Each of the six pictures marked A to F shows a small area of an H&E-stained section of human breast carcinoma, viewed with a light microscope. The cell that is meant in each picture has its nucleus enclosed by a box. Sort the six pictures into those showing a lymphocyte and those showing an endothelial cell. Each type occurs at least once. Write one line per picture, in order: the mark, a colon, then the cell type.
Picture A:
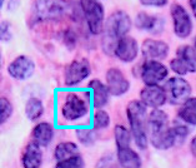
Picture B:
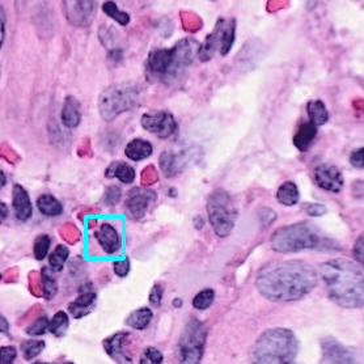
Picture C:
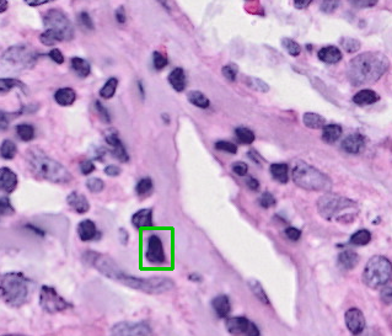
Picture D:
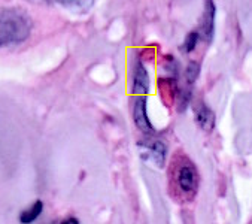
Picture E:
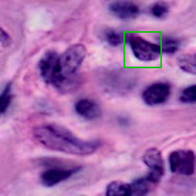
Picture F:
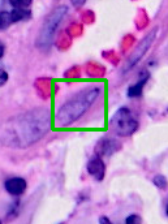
A: lymphocyte
B: lymphocyte
C: lymphocyte
D: endothelial cell
E: lymphocyte
F: endothelial cell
